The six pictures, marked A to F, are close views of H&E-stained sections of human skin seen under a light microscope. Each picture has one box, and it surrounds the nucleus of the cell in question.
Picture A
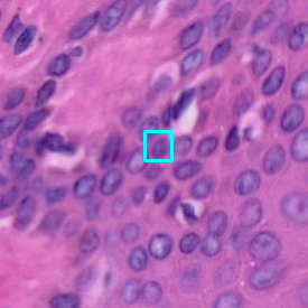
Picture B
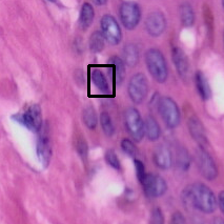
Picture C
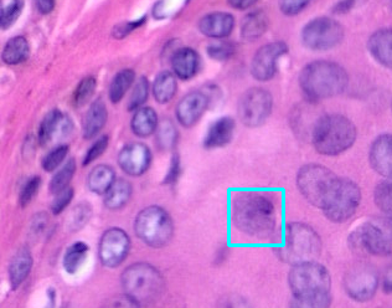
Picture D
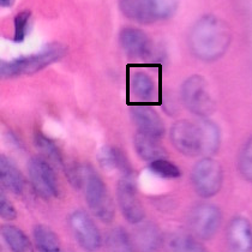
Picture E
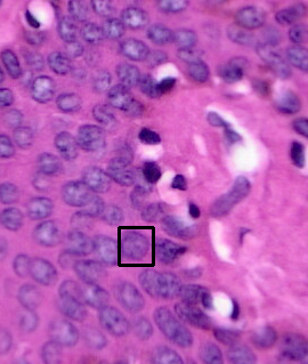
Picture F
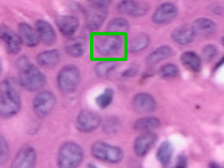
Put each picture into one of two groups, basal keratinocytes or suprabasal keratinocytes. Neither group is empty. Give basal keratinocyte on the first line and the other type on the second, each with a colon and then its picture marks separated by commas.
basal keratinocyte: A, B, D, E
suprabasal keratinocyte: C, F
